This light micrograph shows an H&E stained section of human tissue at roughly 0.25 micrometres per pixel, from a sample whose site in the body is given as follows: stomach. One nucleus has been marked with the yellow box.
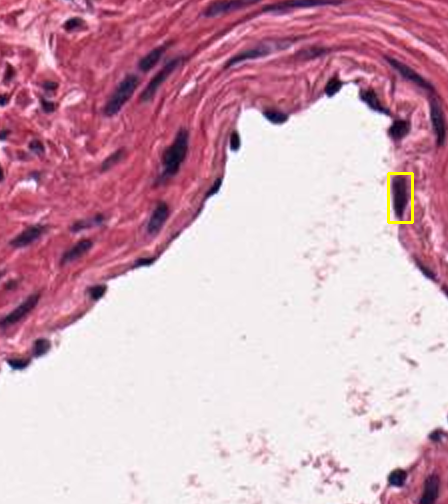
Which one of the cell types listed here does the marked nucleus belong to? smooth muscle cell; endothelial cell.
endothelial cell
